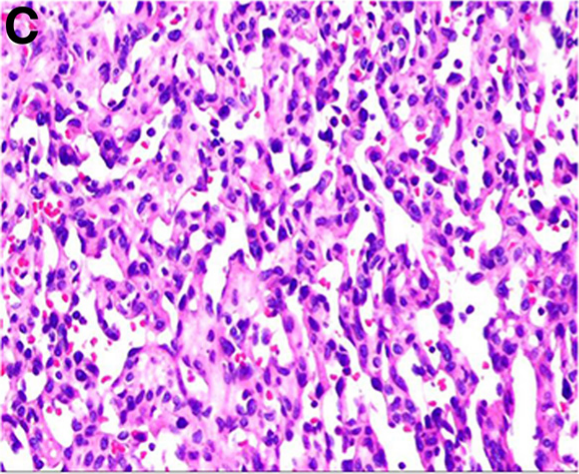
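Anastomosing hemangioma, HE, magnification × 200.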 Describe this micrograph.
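Vascular tumor composed of oval to spindle tumor cells lining narrow, slit-like, interconnecting channels. Nuclei are elongated to oval, dark purple and fairly uniform in size and shape. Cytoplasm is scant and pink. Scattered red blood cells lie within the small channels. The cells form a loose, meshwork-like pattern without solid sheets.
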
